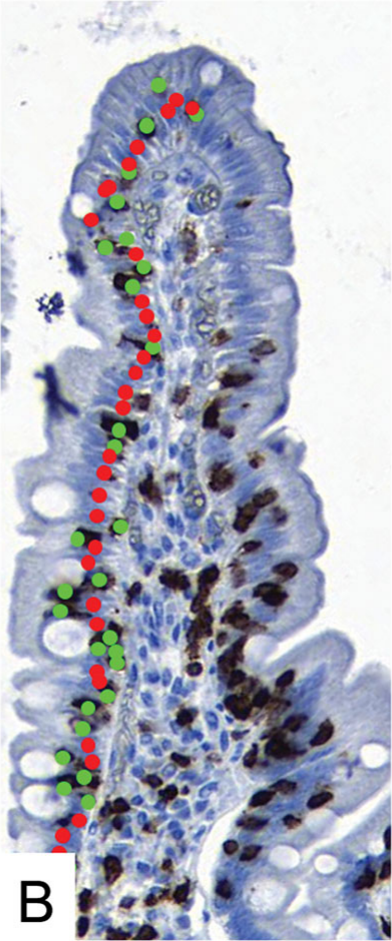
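A small intestinal villus is lined by tall columnar enterocytes with oval, basally placed nuclei and a thin brush border at the surface; scattered goblet cells appear as clear rounded vacuoles in the epithelium. Many small, dark brown-stained lymphocytes lie within the epithelial layer, wedged between the enterocyte nuclei, and further brown cells crowd the lamina propria of the villus core. The density of brown cells in the epithelium is high, especially in the lower part of the villus.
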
